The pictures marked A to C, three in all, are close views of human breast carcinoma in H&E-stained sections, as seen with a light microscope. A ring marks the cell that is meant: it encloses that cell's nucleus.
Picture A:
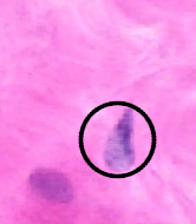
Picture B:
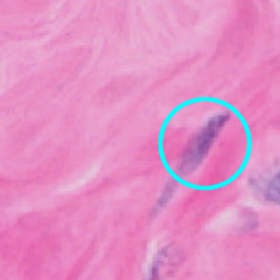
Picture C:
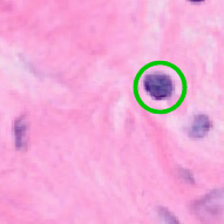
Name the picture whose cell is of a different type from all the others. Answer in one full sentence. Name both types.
Picture C is the odd one out: it shows a lymphocyte, while the others show fibroblasts.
